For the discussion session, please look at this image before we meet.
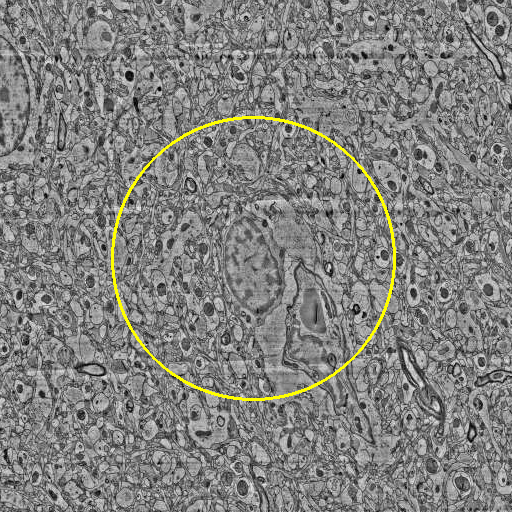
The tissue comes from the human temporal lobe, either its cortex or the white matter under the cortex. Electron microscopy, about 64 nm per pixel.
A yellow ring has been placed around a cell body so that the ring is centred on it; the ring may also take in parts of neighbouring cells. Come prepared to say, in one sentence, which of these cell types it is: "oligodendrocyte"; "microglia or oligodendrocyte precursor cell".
The cell centred in the ring is an oligodendrocyte.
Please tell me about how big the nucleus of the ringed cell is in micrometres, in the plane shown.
Approximately 6 micrometres long and 4 micrometres wide, so clearly longer than it is wide in this plane.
